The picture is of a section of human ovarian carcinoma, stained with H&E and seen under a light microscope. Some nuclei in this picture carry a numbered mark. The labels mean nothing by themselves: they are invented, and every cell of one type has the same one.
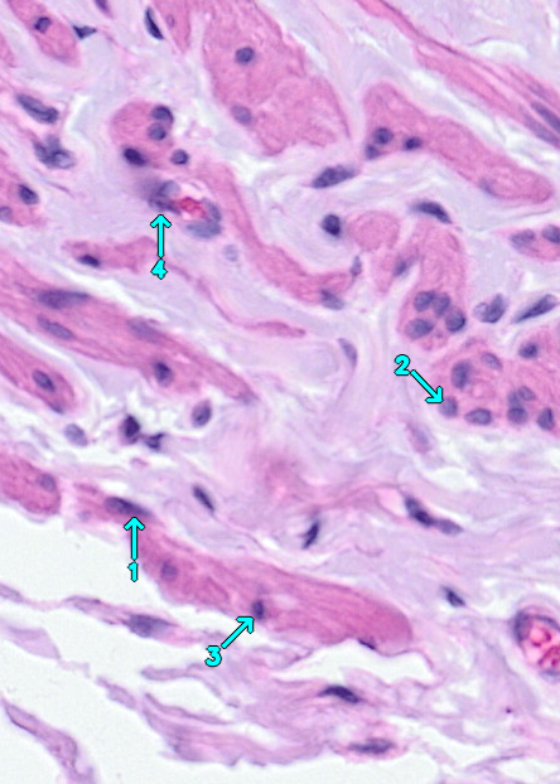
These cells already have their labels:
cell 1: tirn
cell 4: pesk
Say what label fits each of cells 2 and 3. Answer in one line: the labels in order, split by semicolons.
tirn; tirn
